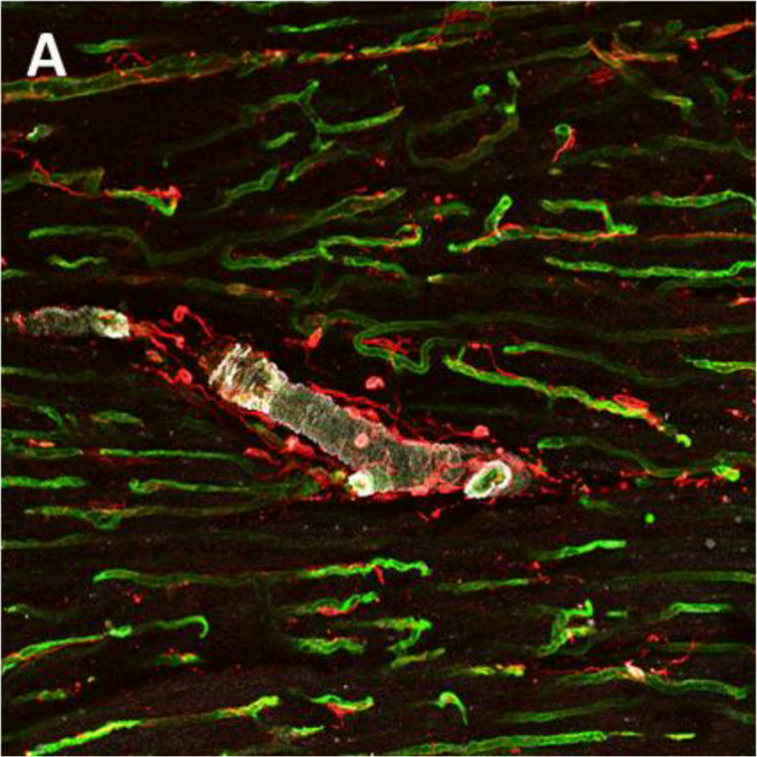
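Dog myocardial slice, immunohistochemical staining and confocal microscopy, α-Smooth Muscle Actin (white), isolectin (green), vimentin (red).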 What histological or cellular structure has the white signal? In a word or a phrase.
Large vessels.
